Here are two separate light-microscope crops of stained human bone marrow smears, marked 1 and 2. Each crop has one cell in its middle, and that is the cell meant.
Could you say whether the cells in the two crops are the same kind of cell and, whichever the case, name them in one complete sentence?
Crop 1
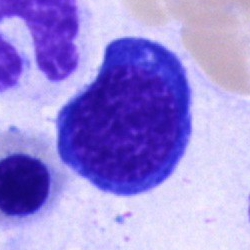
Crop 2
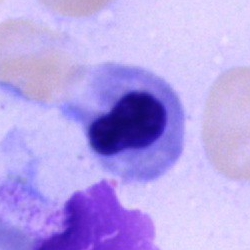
Yes, the crops both have erythroblasts in the middle.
